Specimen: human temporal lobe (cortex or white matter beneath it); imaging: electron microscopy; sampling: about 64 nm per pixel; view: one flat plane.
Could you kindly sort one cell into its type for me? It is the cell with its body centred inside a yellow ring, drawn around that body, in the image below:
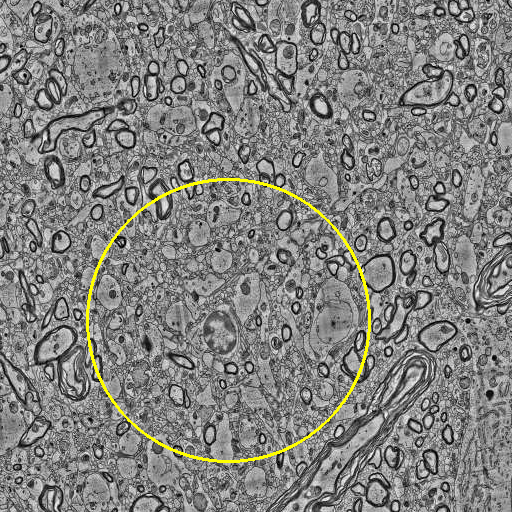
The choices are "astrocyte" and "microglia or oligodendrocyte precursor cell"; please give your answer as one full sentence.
The cell whose body lies centred in the yellow ring here is a microglial cell or oligodendrocyte precursor cell.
